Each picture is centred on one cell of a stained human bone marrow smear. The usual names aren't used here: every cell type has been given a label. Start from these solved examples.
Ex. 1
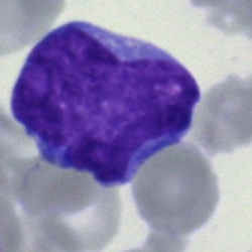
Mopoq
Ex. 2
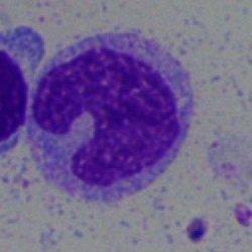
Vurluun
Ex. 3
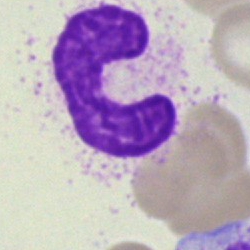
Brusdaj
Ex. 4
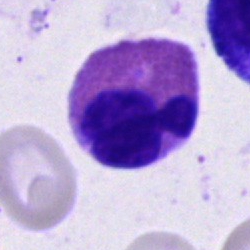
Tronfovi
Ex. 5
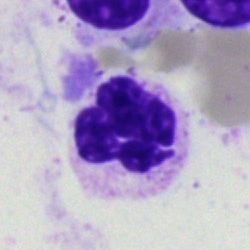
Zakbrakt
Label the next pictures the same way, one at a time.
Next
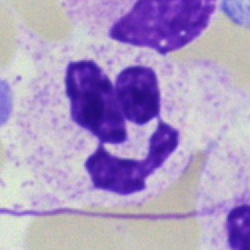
Zakbrakt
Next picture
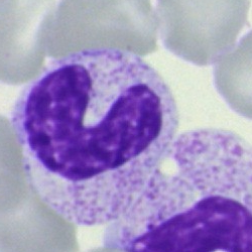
Brusdaj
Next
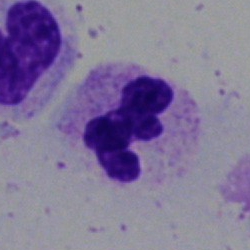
Zakbrakt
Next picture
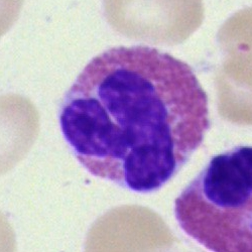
Tronfovi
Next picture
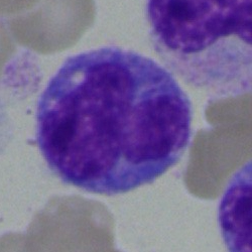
Vurluun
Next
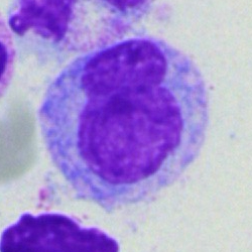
Vurluun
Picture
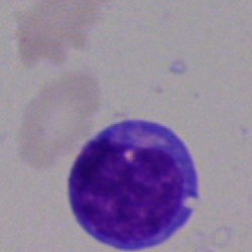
Mopoq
